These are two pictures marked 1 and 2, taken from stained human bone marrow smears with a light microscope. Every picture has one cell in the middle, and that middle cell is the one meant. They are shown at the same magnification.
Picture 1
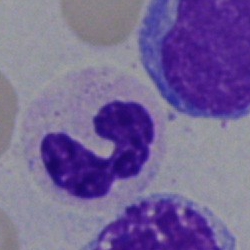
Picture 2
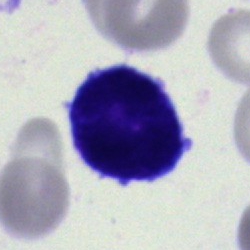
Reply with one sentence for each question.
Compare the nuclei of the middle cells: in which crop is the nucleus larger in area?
Picture 2 shows the larger nucleus; it covers about 1.5 times the area of the nucleus in picture 1.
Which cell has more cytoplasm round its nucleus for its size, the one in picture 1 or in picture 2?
It is the cell in picture 1 that is filled less by its nucleus.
